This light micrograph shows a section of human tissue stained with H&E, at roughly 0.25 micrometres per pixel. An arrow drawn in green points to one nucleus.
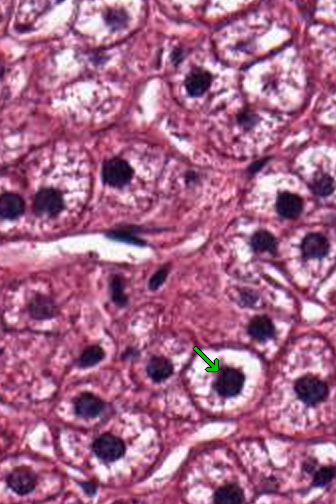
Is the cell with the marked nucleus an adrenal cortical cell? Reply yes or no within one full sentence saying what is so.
Yes, the marked nucleus sits in an adrenal cortical cell.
